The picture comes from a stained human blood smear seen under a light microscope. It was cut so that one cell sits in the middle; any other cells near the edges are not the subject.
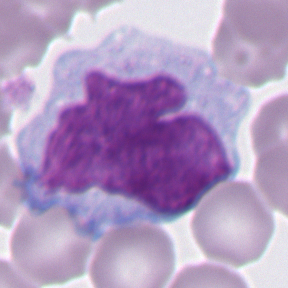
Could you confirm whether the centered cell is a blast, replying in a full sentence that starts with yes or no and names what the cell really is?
No, the central cell is properly termed a monocyte, not a blast.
